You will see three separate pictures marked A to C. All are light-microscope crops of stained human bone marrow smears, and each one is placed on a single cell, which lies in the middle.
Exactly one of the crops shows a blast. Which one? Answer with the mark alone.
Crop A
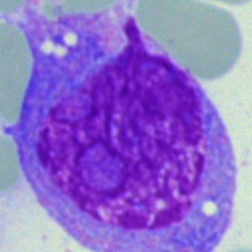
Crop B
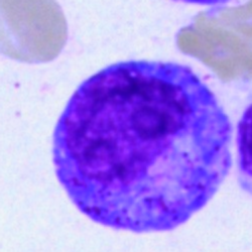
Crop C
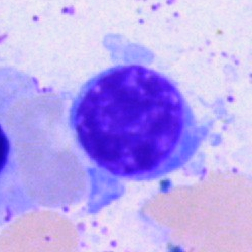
A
